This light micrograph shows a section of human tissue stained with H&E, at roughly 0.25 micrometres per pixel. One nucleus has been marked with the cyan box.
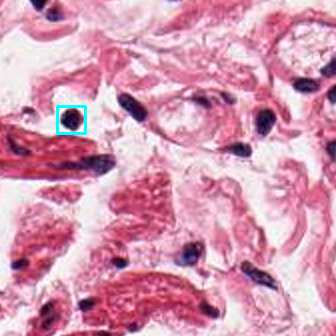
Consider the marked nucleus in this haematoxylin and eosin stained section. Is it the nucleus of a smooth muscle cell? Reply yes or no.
no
